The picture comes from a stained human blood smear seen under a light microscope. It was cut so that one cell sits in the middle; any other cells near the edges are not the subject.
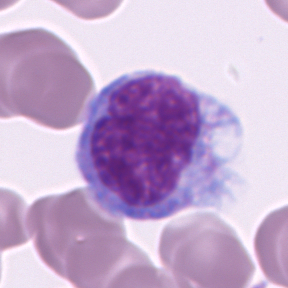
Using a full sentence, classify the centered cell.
Classified as a monocyte is the cell in the middle of this crop.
